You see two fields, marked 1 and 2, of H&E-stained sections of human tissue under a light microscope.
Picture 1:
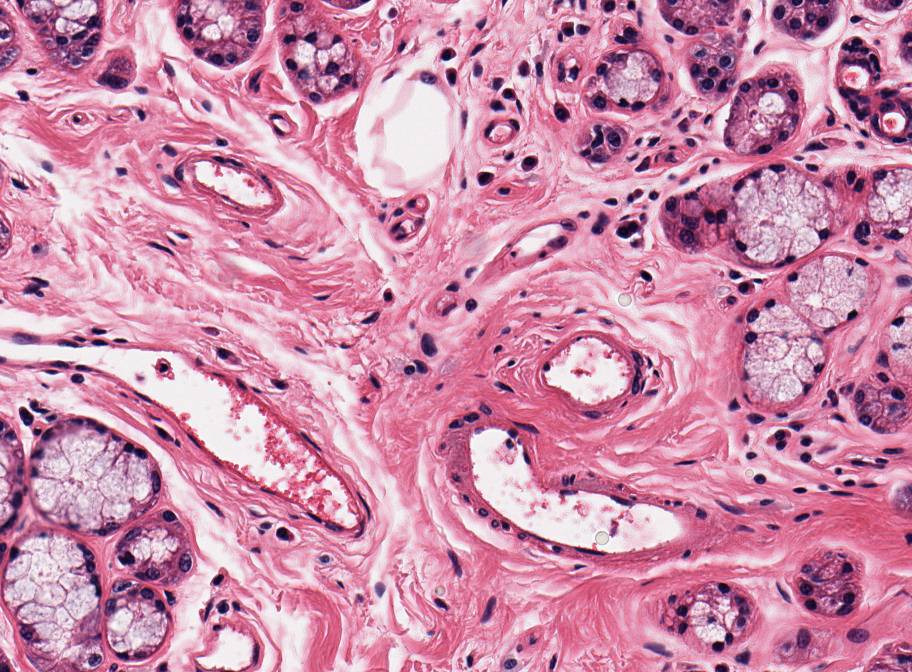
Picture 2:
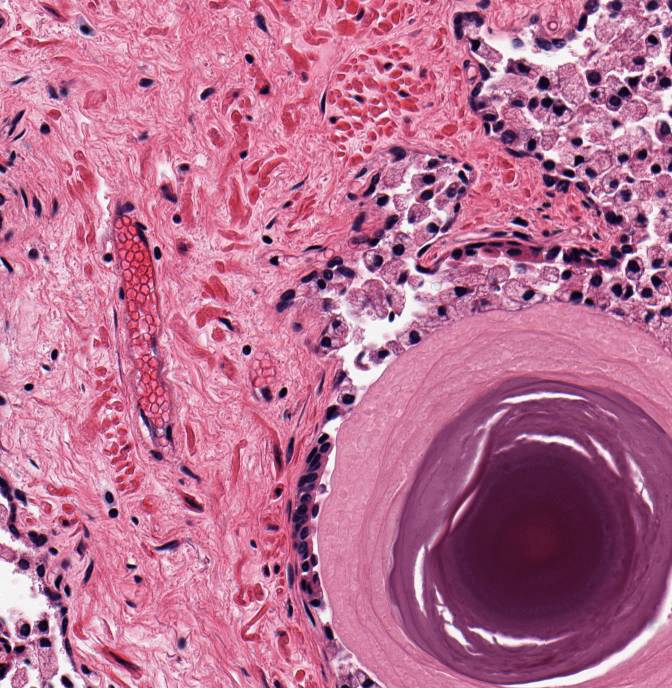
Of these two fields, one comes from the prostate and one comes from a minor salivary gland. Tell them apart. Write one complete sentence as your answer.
It is picture 1 that comes from a minor salivary gland, and picture 2 that comes from the prostate.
